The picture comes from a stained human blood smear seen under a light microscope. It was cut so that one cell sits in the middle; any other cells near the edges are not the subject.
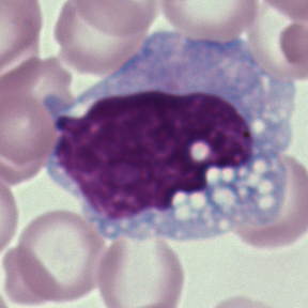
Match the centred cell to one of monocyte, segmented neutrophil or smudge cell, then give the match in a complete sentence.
Answering briefly, the cell in the middle is a monocyte.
